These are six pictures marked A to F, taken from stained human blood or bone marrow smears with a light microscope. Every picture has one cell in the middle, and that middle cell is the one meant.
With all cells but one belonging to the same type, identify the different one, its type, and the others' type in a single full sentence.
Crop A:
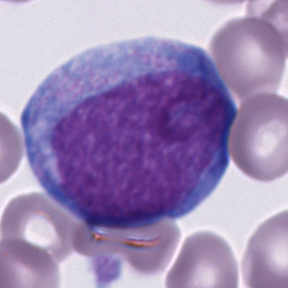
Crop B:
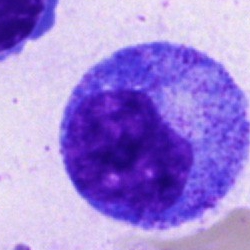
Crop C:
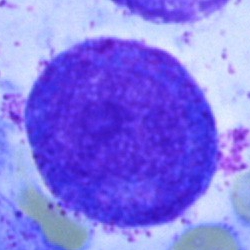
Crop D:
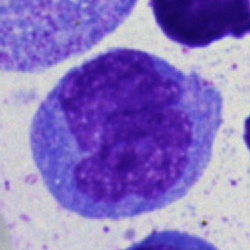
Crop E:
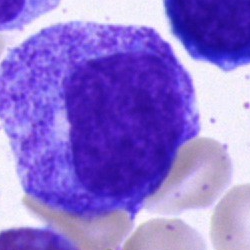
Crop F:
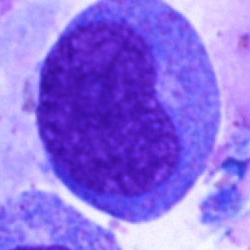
Crop D is not like the others: it is a monocyte, and they are promyelocytes.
